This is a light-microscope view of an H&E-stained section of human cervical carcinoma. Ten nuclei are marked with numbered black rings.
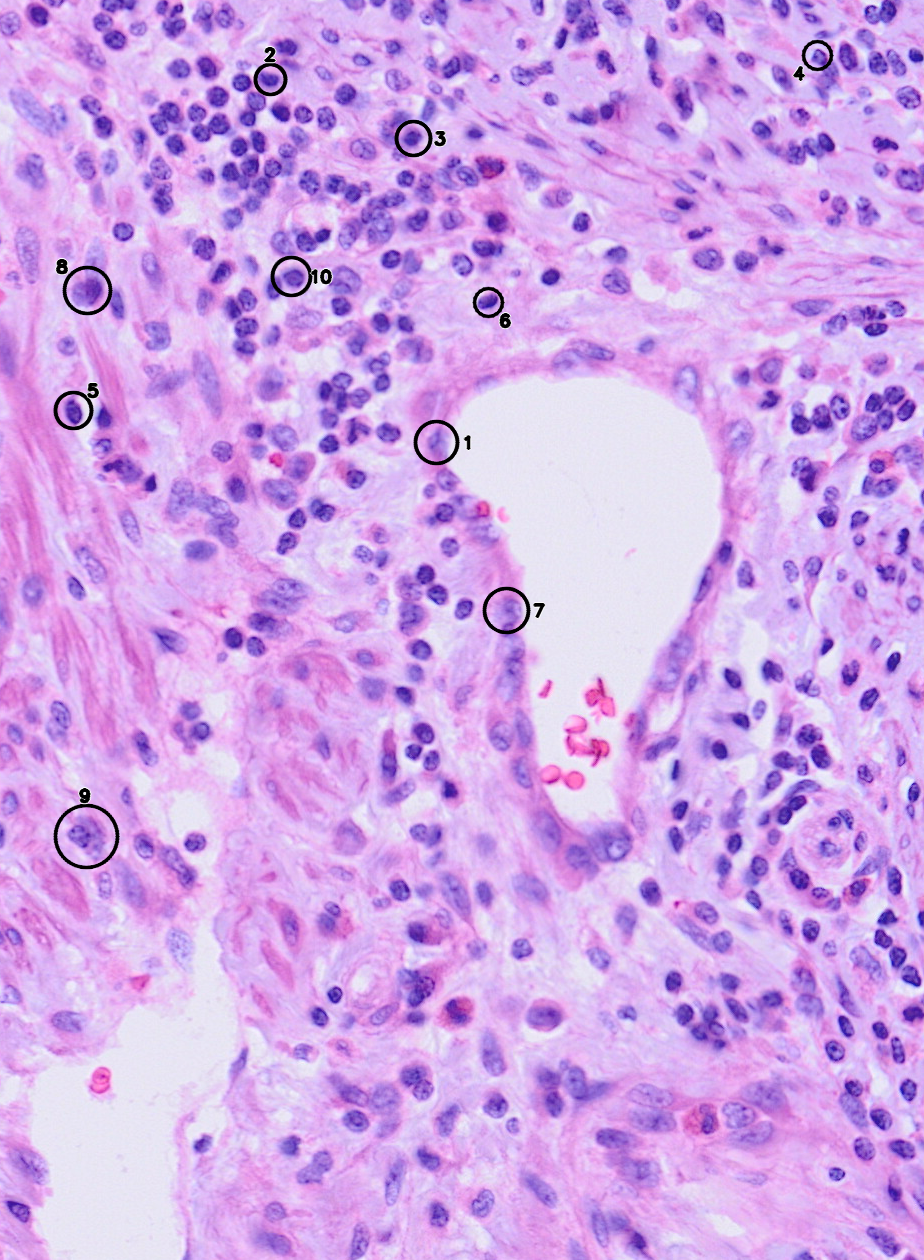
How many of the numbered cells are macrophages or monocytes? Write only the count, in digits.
2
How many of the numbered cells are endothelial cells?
2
